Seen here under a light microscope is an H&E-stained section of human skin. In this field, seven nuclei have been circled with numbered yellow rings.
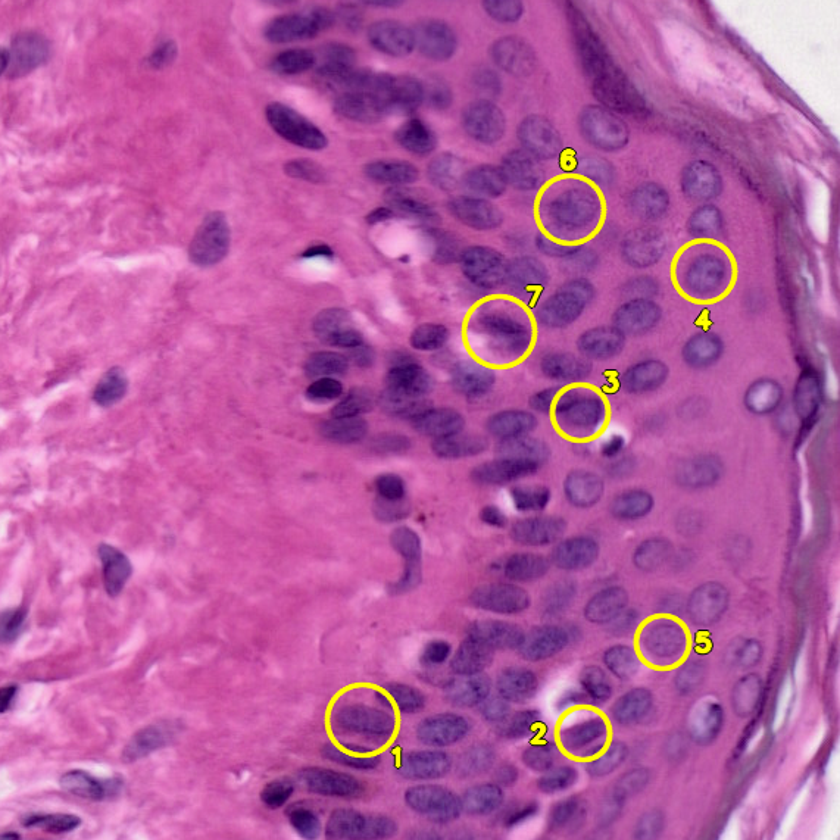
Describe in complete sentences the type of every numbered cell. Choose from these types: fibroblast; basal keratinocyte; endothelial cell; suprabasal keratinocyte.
Cells 1, 2, 3 and 7 are basal keratinocytes. Cells 4, 5 and 6 are suprabasal keratinocytes.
